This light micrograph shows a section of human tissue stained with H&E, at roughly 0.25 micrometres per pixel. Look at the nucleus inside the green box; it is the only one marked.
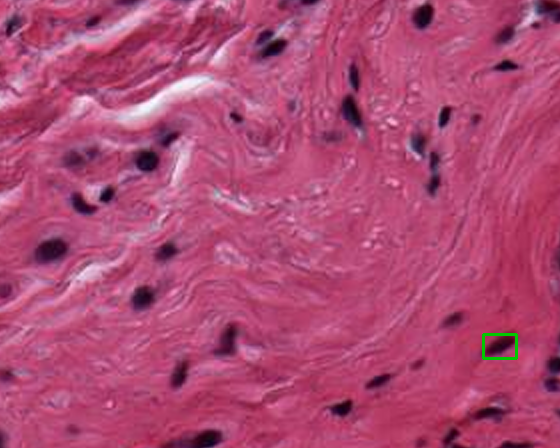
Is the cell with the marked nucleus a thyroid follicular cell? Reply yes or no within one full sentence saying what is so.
No, the marked nucleus is the nucleus of a supporting cell rather than of a thyroid follicular cell.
